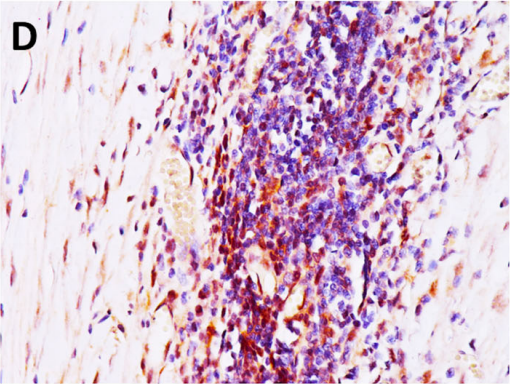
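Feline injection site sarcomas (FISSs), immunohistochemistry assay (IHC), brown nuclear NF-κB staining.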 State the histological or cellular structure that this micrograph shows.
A: Lymphoid aggregates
